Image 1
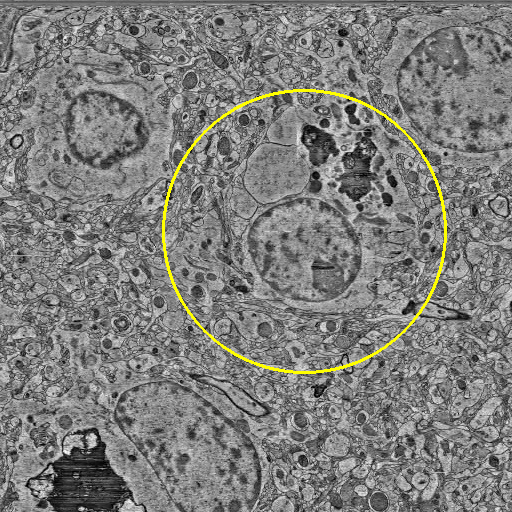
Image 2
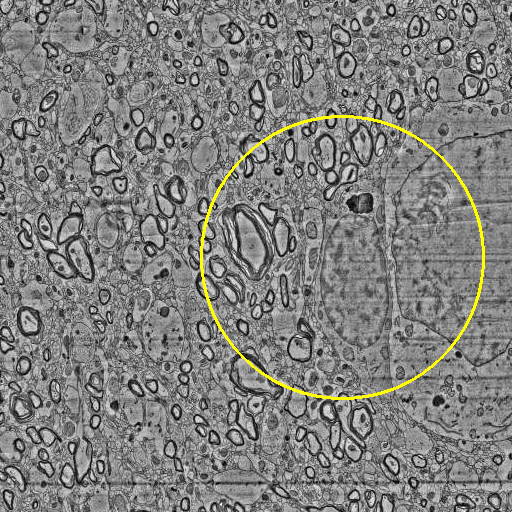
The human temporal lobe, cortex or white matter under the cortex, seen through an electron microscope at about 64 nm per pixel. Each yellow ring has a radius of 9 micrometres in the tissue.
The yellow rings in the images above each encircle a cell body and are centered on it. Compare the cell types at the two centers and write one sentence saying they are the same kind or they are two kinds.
Taken together, the two cells at the ring centers are two kinds.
